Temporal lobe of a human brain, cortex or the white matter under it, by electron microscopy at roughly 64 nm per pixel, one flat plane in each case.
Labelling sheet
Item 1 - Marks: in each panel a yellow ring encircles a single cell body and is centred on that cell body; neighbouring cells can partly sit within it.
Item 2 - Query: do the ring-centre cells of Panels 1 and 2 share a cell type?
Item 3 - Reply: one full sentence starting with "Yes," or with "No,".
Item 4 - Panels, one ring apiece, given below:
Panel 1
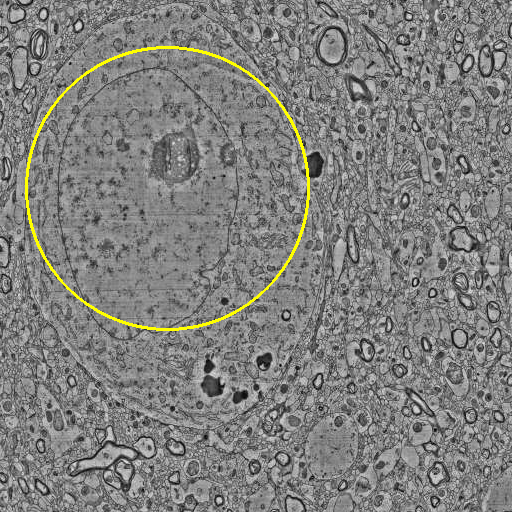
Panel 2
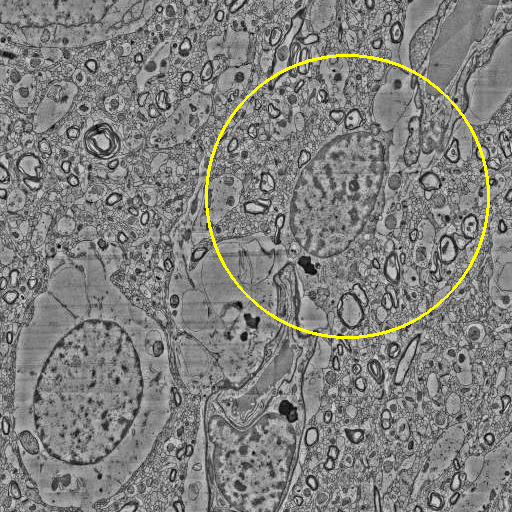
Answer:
No, Panel 1 and Panel 2 show two cell types at the centres of their rings.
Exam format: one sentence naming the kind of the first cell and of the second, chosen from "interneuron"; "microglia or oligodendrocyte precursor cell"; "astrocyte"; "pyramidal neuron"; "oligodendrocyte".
The first picture's cell is a pyramidal neuron, and the second picture's cell is an oligodendrocyte.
